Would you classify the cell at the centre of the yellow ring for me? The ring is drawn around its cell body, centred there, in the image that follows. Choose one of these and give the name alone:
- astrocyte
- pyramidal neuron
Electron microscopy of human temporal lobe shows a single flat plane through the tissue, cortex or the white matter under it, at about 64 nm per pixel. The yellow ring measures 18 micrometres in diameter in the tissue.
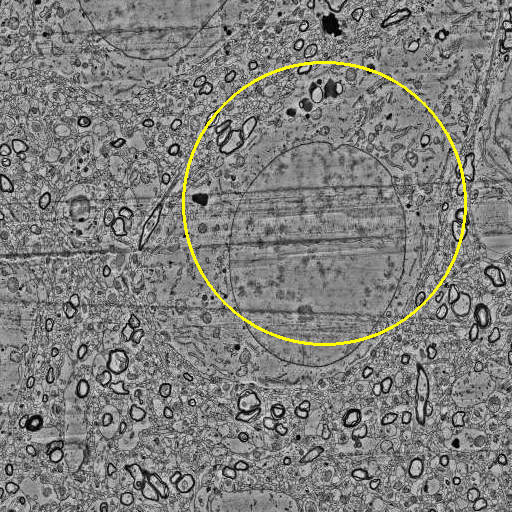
pyramidal neuron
